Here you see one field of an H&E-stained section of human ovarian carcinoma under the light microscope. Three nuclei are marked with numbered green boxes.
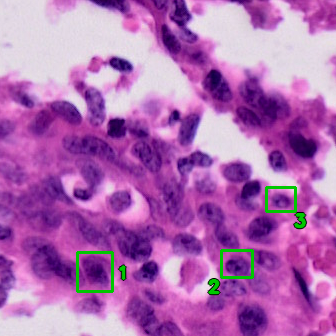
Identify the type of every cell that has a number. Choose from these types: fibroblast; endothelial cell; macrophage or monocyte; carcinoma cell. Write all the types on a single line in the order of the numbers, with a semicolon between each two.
carcinoma cell; macrophage or monocyte; macrophage or monocyte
